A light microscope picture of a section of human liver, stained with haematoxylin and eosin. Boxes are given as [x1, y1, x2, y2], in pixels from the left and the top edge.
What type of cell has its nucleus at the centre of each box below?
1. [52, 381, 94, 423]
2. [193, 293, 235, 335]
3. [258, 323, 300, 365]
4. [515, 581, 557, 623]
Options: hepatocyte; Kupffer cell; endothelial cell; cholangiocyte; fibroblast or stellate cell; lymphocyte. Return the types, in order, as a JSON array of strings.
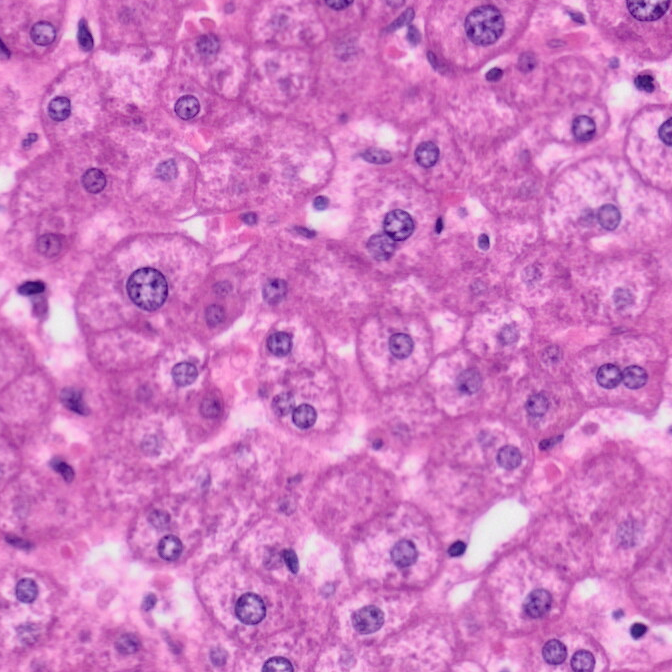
["endothelial cell", "hepatocyte", "hepatocyte", "hepatocyte"]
